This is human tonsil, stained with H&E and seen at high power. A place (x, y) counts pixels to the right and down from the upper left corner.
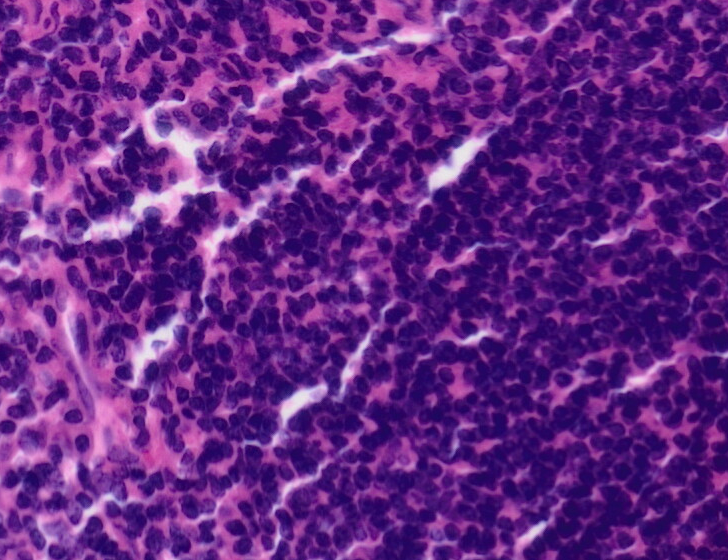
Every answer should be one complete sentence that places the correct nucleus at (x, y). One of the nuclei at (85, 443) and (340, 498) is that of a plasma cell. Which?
The nucleus located at (85, 443) is the one held within a plasma cell.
